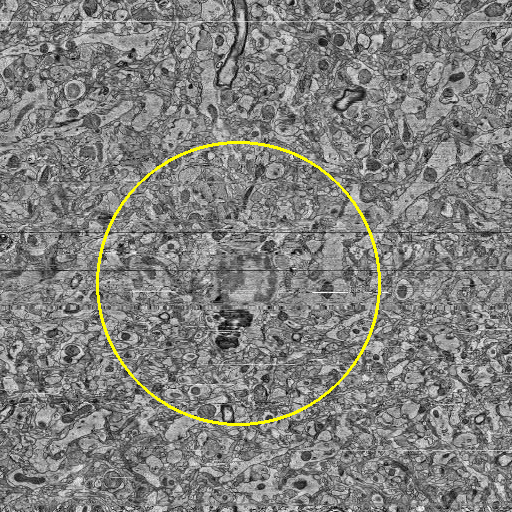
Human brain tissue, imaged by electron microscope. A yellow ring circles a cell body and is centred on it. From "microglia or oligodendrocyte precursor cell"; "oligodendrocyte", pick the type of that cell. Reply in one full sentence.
The cell body at the centre of the yellow ring belongs to an oligodendrocyte.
